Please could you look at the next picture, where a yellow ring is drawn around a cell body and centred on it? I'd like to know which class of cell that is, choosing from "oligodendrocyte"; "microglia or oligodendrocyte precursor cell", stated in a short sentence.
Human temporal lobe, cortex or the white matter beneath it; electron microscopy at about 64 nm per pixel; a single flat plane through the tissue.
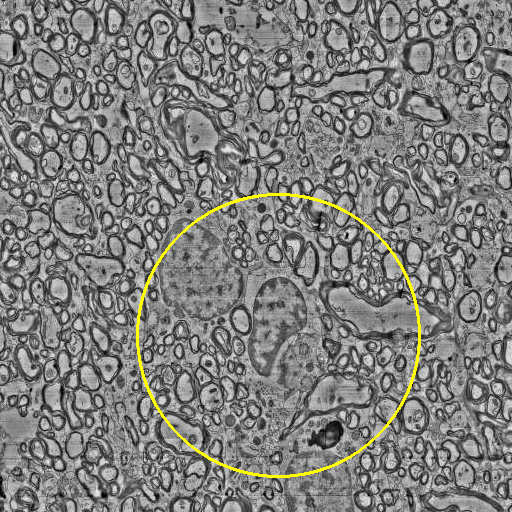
The ring's centre lies on a microglial cell or oligodendrocyte precursor cell.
